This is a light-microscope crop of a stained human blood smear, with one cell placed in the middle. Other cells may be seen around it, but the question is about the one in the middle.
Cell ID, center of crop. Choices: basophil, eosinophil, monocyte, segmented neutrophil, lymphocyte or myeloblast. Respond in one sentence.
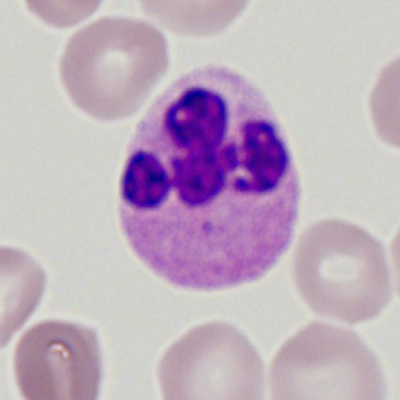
The middle of this crop holds a segmented neutrophil.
